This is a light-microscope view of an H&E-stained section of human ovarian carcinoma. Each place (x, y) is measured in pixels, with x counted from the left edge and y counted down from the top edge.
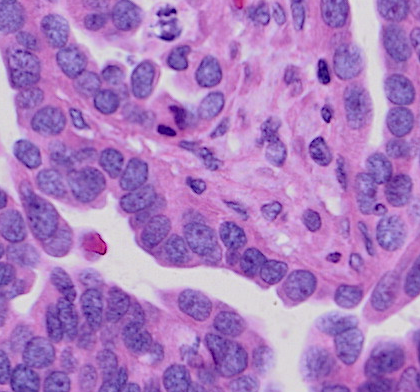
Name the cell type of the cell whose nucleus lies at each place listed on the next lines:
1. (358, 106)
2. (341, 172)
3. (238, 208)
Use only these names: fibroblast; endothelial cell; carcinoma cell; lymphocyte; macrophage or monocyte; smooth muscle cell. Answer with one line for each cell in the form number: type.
1: carcinoma cell
2: fibroblast
3: fibroblast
